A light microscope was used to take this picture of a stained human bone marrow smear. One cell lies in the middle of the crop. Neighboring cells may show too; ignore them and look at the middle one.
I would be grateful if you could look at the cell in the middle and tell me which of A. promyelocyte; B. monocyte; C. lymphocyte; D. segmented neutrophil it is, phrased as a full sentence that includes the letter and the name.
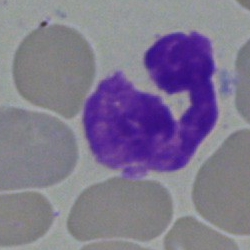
The middle of the crop contains a segmented neutrophil, so option D is right.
